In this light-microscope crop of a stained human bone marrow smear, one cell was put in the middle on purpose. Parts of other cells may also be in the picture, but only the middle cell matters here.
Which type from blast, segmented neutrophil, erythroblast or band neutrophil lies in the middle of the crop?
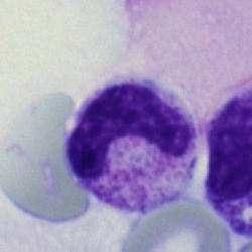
band neutrophil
